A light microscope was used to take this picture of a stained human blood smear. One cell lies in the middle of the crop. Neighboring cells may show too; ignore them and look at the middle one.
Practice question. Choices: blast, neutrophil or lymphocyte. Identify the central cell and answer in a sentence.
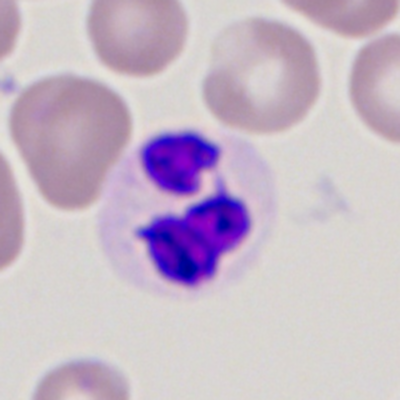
In short, the cell at the center is a neutrophil.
